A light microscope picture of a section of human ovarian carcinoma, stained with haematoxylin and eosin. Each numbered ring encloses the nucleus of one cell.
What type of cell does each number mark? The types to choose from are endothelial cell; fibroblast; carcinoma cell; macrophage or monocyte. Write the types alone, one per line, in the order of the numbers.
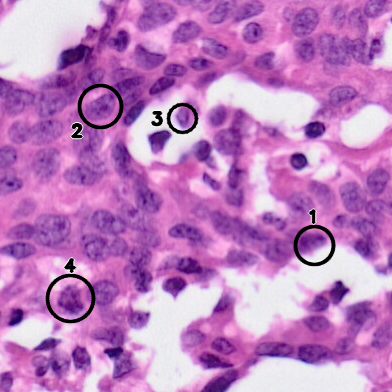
carcinoma cell
carcinoma cell
macrophage or monocyte
carcinoma cell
